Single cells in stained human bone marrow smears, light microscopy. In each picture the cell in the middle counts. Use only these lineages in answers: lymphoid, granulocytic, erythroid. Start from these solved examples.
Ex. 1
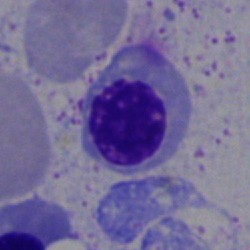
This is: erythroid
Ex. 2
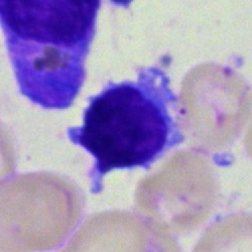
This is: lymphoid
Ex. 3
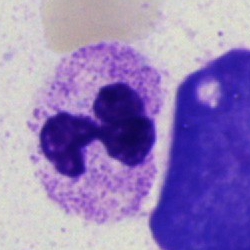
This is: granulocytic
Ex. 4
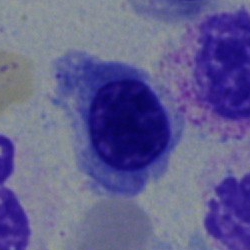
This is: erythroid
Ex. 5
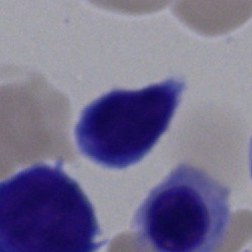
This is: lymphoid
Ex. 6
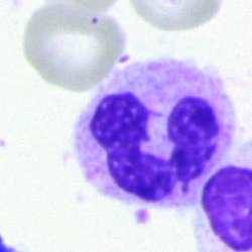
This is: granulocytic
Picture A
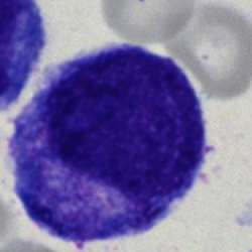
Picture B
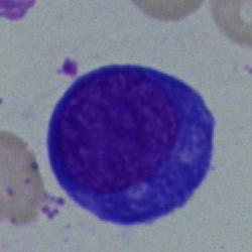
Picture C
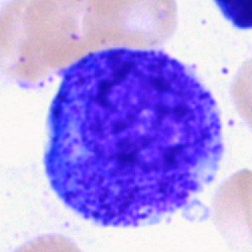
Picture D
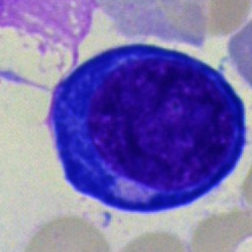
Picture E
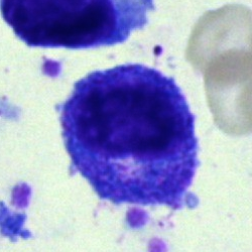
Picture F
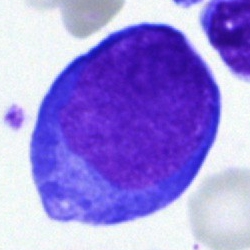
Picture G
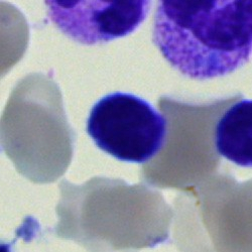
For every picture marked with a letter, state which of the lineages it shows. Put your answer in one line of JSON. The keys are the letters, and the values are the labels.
{"A": "granulocytic", "B": "erythroid", "C": "granulocytic", "D": "erythroid", "E": "granulocytic", "F": "erythroid", "G": "lymphoid"}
